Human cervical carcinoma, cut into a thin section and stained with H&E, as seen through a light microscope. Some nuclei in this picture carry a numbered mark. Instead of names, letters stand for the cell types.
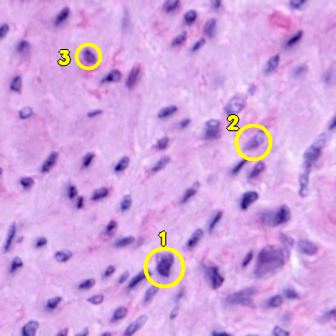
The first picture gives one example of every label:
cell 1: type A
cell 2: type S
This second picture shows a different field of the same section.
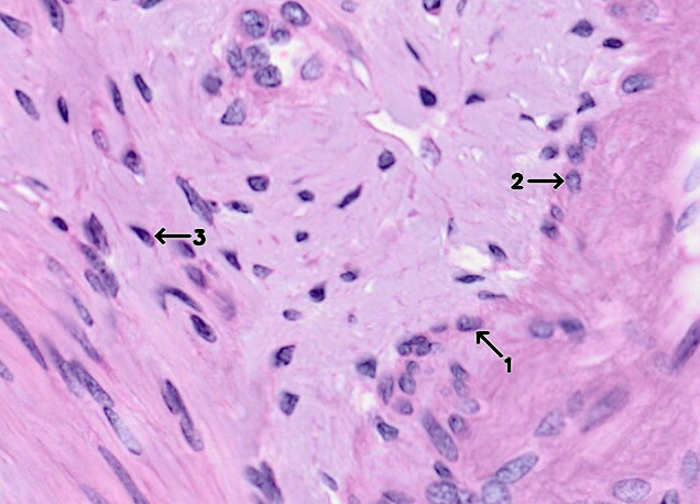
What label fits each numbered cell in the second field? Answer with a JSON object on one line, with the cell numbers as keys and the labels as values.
{"1": "type S", "2": "type S", "3": "type A"}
